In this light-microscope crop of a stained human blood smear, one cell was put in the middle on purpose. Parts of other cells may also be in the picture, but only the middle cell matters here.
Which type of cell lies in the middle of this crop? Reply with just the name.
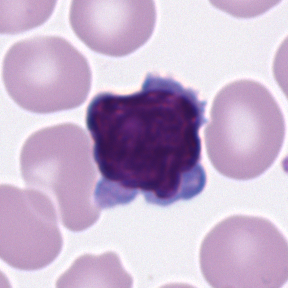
typical lymphocyte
